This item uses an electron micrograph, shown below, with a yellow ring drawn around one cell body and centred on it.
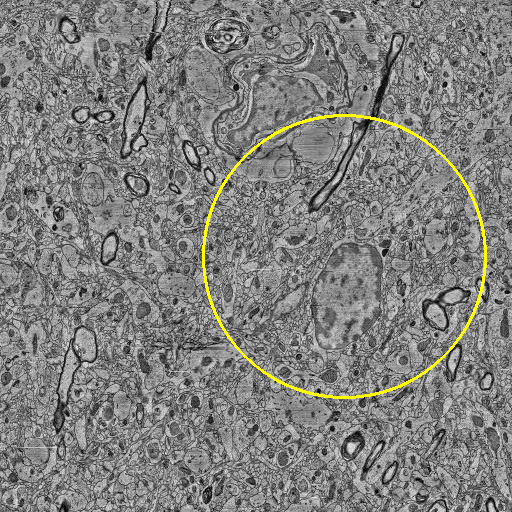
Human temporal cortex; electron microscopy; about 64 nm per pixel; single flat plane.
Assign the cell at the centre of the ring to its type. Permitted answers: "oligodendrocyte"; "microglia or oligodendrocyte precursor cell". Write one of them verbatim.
microglia or oligodendrocyte precursor cell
